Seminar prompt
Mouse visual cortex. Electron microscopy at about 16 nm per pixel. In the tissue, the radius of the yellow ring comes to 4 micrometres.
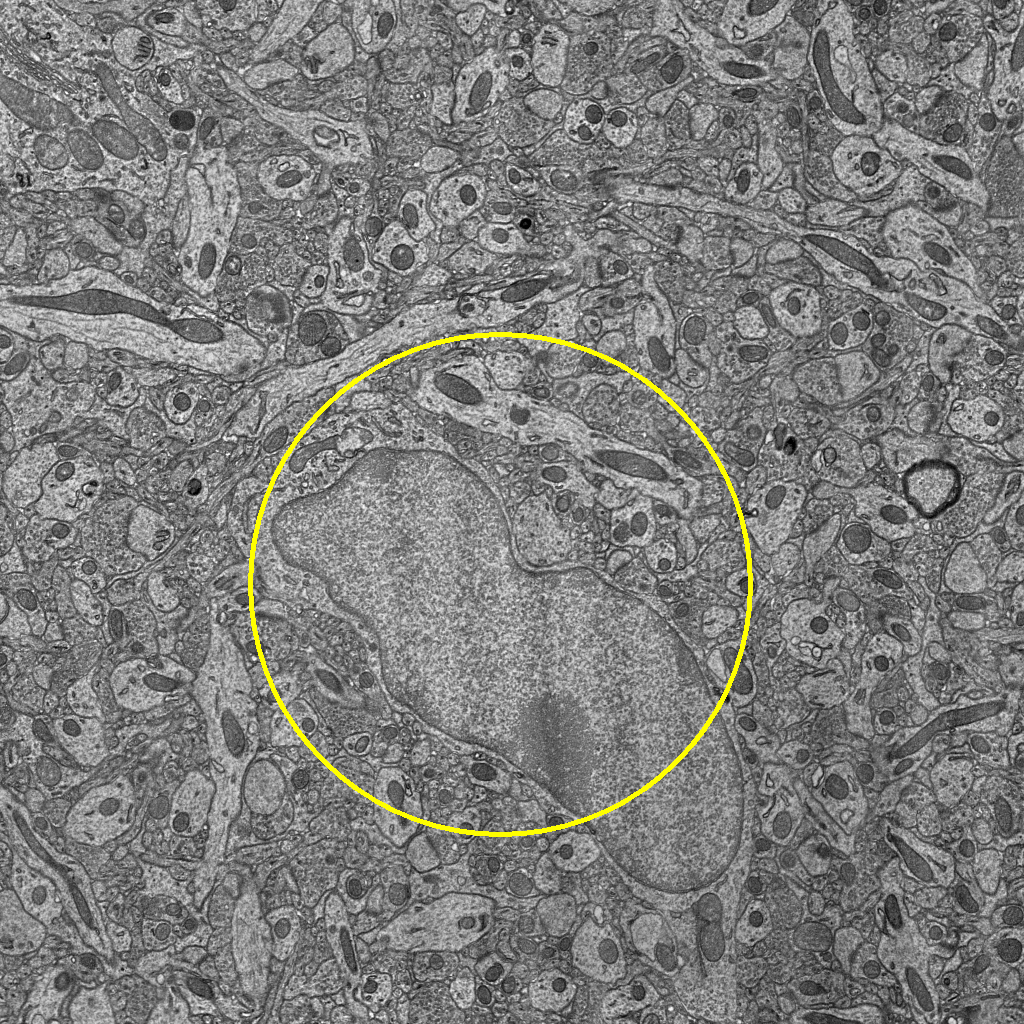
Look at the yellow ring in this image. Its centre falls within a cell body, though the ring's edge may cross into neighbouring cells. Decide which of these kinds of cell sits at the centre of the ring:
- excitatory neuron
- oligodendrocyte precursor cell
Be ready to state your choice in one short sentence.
The kind of cell at the ring's centre is an oligodendrocyte precursor cell.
